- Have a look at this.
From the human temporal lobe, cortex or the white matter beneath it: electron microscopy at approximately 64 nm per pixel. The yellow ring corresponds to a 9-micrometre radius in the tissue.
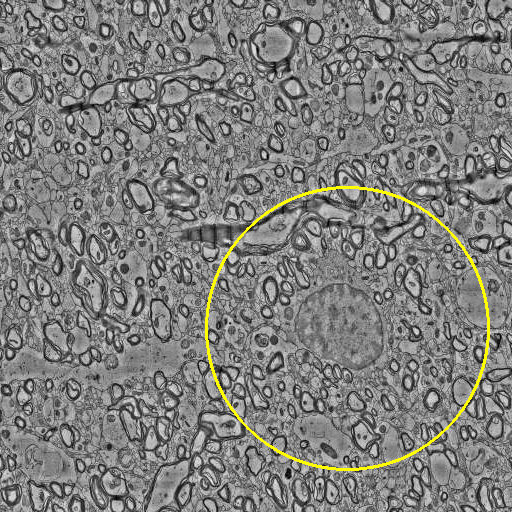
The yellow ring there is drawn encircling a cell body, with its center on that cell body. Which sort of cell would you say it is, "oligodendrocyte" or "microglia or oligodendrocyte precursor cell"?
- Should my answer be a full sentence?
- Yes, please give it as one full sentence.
For this picture, an oligodendrocyte is the cell where the yellow ring has its center.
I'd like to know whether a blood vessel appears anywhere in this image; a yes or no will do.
No, a blood vessel is absent from this picture.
